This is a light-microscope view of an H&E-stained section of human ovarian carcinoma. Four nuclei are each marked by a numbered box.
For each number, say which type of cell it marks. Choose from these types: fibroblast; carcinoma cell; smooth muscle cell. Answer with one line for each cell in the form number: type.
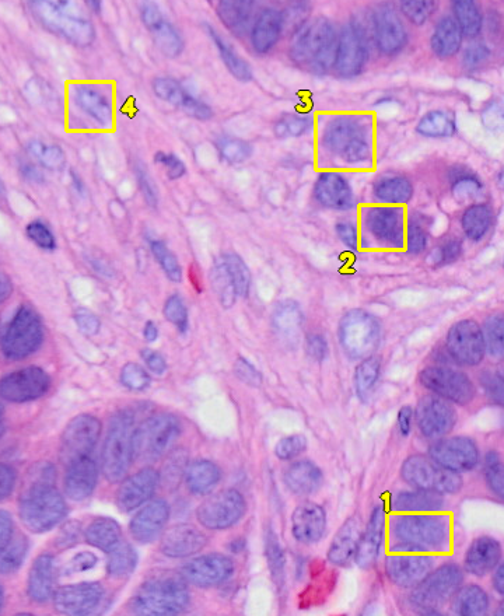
1: carcinoma cell
2: carcinoma cell
3: carcinoma cell
4: fibroblast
